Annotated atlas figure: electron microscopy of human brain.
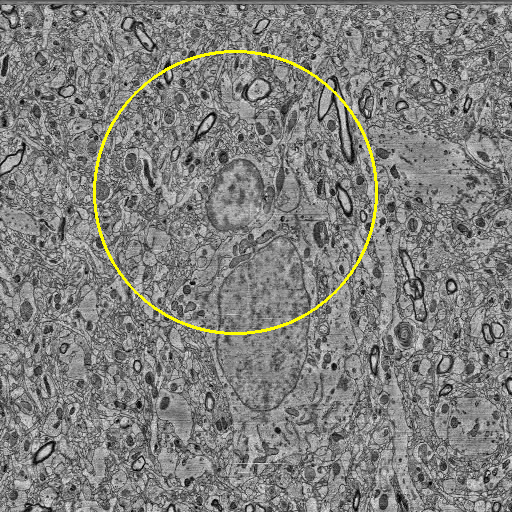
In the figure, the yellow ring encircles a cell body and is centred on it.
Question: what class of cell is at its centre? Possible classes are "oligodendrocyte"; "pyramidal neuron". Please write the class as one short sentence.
The yellow ring is drawn around an oligodendrocyte.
